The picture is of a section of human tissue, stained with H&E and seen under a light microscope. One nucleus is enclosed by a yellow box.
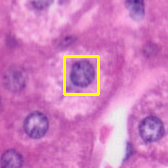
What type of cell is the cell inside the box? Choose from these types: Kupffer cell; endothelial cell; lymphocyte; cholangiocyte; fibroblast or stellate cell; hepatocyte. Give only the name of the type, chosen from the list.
hepatocyte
